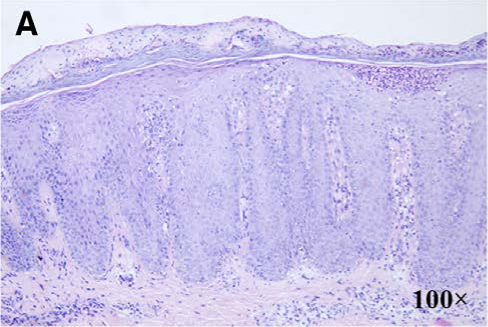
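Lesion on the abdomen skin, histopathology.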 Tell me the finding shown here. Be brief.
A: Acanthosis.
